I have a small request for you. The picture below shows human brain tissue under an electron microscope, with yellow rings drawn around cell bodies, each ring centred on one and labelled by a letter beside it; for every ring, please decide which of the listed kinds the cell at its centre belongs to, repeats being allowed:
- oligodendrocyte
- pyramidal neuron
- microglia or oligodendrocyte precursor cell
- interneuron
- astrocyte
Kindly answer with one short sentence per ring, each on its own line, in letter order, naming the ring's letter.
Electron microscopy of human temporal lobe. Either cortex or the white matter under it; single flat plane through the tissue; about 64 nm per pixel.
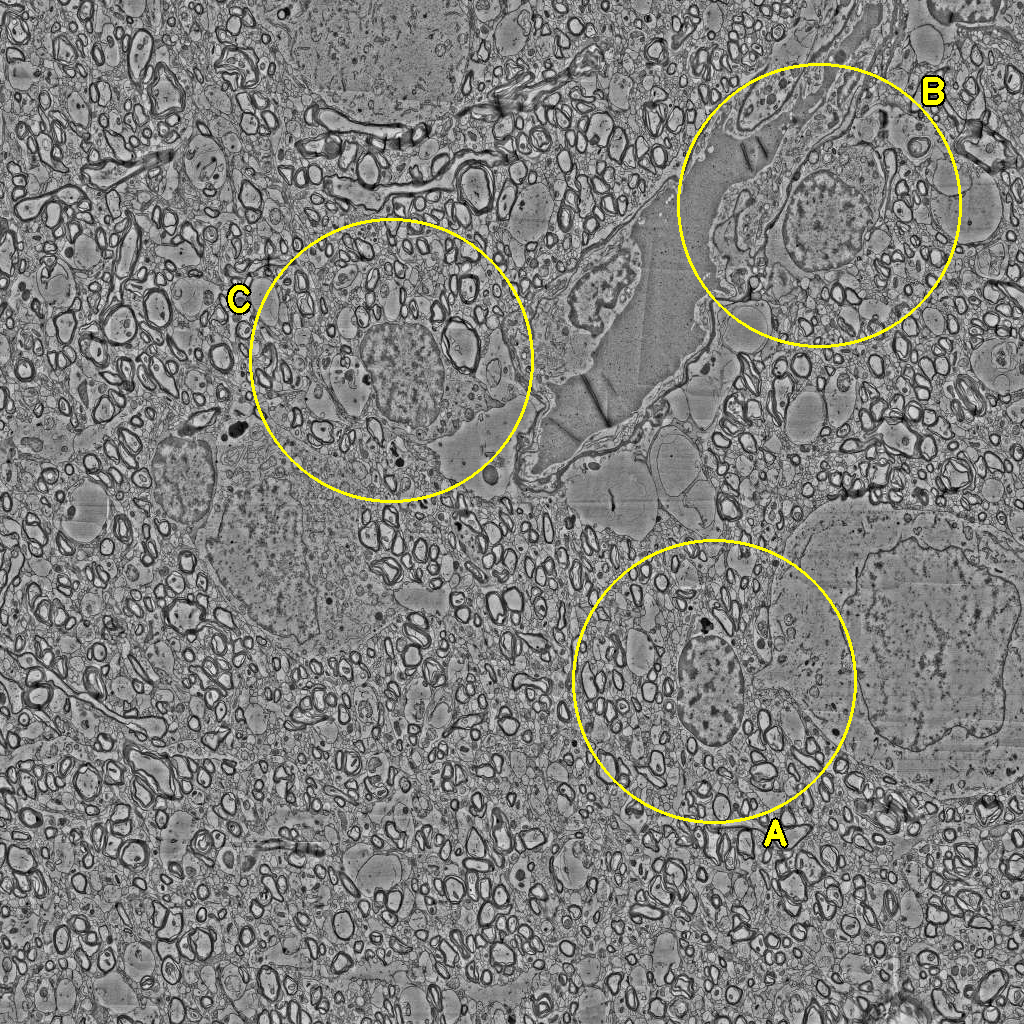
Ring A shows a microglial cell or oligodendrocyte precursor cell at its centre.
Ring B shows an oligodendrocyte at its centre.
Ring C shows an oligodendrocyte at its centre.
